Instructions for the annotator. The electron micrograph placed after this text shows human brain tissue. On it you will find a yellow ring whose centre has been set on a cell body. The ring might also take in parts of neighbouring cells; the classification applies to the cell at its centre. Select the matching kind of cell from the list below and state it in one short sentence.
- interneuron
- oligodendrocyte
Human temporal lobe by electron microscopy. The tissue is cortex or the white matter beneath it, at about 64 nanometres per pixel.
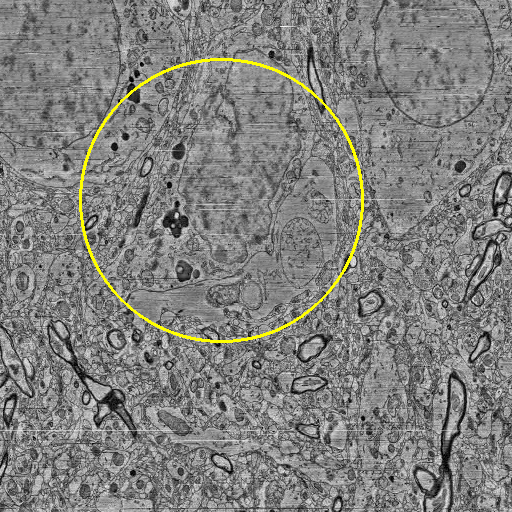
The ring is drawn on the cell body of an interneuron.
